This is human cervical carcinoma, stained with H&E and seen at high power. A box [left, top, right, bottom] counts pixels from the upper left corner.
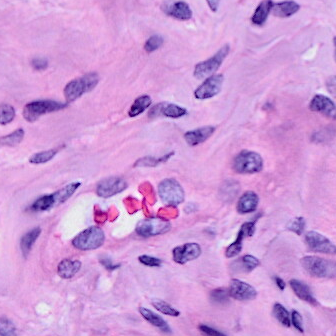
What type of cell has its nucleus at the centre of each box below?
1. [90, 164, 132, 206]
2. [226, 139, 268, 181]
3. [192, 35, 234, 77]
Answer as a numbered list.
1. endothelial cell
2. endothelial cell
3. fibroblast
